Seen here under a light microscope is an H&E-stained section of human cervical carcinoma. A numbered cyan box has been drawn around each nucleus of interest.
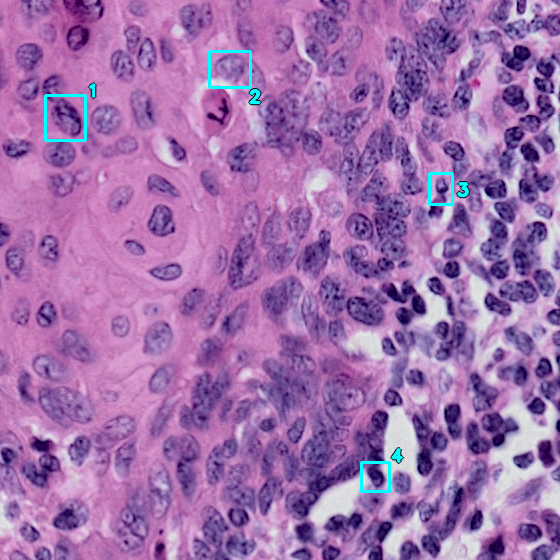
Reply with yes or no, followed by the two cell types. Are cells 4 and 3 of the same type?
Yes, both are lymphocytes.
